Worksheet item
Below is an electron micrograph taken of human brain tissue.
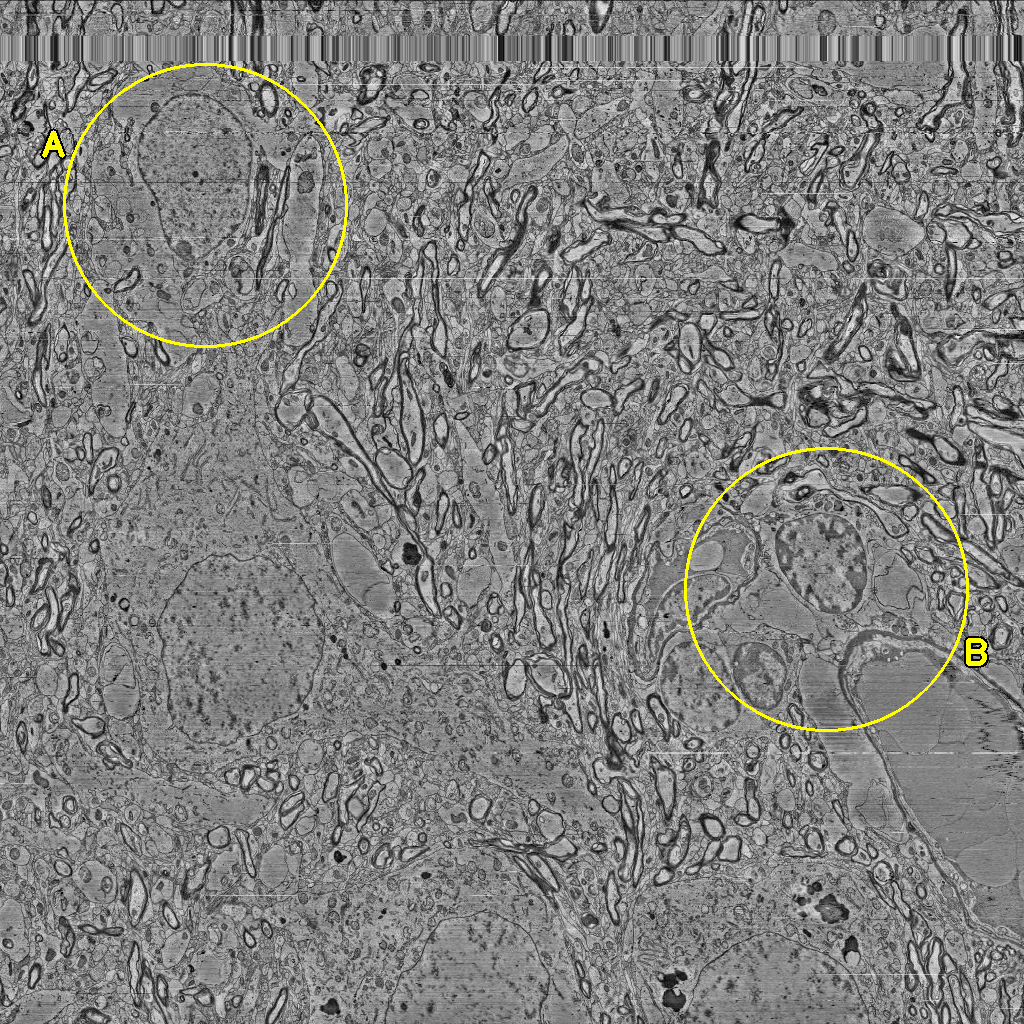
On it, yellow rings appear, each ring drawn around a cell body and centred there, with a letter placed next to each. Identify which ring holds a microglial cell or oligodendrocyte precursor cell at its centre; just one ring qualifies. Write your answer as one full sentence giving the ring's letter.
Ring B has the cell asked for right at its centre in the picture.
